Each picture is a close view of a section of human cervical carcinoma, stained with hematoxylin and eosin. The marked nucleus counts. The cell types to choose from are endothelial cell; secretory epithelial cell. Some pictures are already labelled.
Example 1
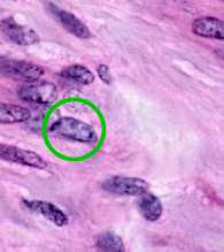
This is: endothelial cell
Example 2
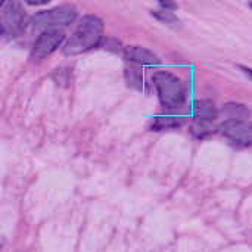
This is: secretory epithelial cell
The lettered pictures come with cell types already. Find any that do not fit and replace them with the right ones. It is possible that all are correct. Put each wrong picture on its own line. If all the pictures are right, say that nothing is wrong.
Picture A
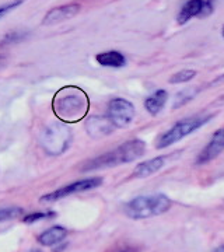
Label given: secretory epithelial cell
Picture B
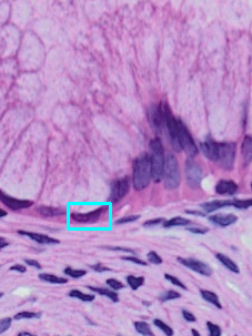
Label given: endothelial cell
Wrong: A (secretory epithelial cell); correct: endothelial cell
Wrong: B (endothelial cell); correct: secretory epithelial cell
